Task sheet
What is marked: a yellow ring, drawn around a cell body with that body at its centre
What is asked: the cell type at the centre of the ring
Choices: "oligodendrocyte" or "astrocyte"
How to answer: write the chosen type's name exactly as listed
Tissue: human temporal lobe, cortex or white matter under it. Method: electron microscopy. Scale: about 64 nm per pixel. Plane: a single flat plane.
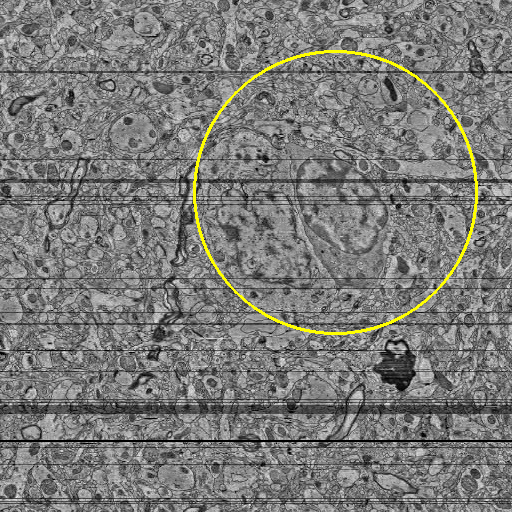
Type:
oligodendrocyte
